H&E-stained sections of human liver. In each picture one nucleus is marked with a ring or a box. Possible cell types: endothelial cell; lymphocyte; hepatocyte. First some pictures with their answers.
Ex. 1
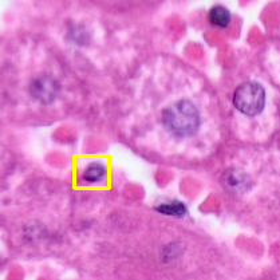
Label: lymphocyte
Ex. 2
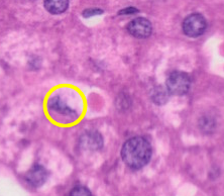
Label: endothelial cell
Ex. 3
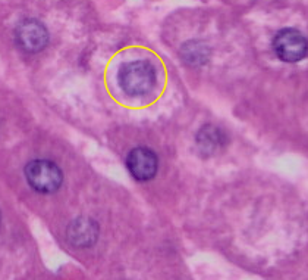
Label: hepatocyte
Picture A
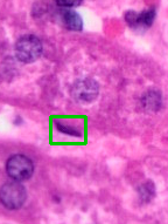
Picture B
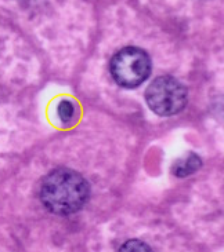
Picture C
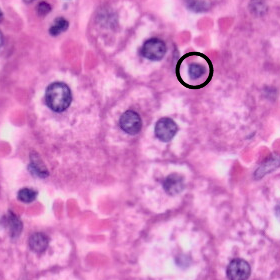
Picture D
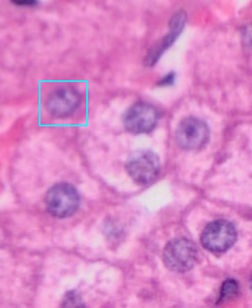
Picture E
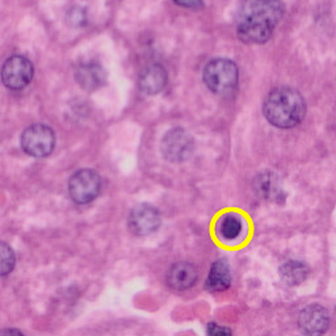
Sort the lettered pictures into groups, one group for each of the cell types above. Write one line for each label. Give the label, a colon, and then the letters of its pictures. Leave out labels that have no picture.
endothelial cell: A
lymphocyte: B, C, E
hepatocyte: D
